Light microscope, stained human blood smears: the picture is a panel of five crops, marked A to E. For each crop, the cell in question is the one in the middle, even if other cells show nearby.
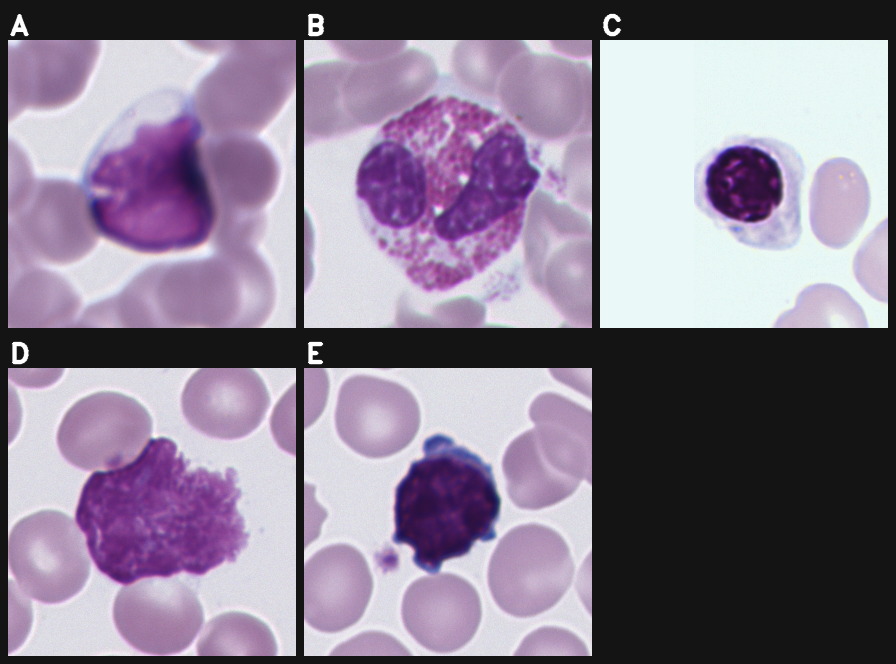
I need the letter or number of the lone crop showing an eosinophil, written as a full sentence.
In this set, crop B is the one showing an eosinophil.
